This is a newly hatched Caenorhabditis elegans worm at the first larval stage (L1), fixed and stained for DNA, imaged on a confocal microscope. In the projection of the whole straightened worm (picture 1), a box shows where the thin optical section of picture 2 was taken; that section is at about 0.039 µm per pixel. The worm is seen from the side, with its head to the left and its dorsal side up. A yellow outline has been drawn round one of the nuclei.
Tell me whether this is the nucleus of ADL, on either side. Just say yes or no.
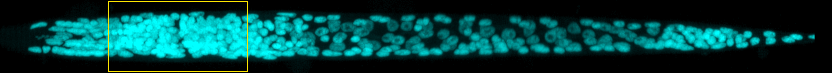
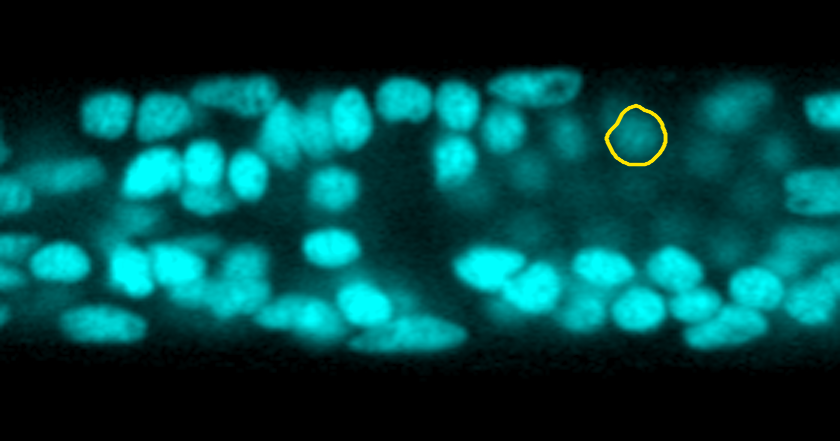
yes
